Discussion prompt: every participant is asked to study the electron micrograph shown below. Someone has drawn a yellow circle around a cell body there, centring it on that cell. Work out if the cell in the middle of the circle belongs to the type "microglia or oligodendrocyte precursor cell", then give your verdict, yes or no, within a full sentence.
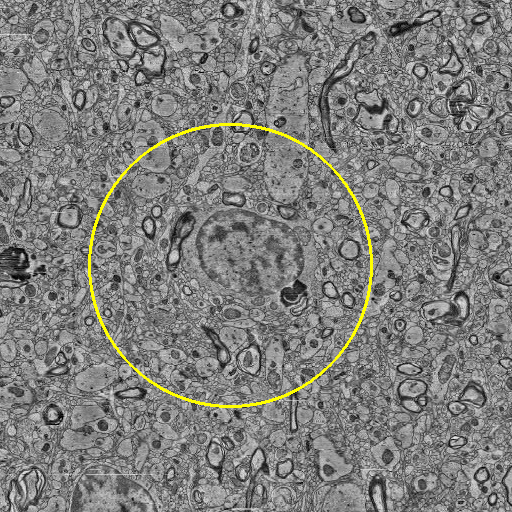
No, my verdict is that the cell in the circle's centre is of a different type.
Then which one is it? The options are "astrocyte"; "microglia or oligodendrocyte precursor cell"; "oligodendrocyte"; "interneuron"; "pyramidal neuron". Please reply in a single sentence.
What the ring encloses here is an oligodendrocyte.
